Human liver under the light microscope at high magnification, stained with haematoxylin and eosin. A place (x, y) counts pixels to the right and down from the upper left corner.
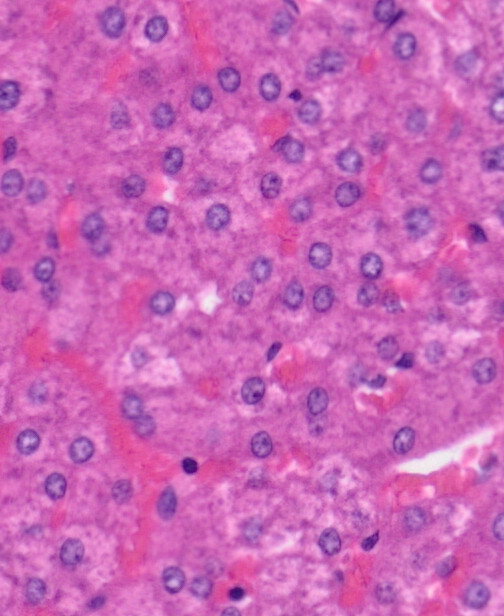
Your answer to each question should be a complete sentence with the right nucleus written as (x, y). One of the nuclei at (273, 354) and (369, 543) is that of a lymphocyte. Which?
The nucleus at position (369, 543) belongs to a lymphocyte.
